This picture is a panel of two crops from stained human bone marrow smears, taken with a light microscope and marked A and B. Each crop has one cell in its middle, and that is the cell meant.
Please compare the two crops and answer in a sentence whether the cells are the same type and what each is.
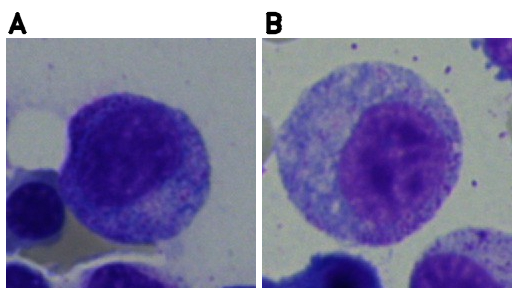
Yes, in short, both crops show myelocytes.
